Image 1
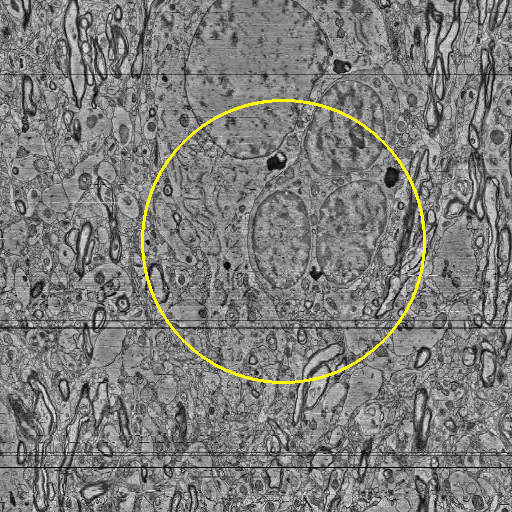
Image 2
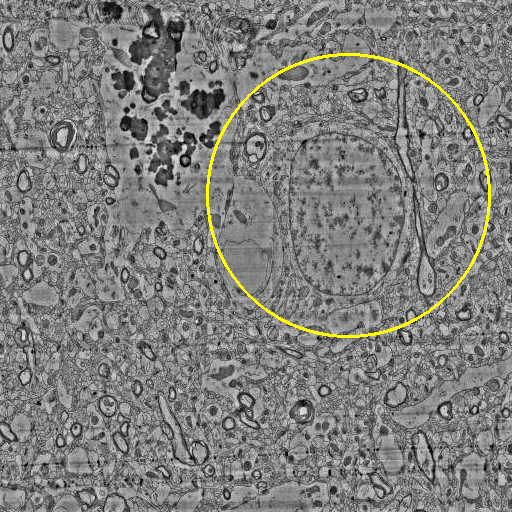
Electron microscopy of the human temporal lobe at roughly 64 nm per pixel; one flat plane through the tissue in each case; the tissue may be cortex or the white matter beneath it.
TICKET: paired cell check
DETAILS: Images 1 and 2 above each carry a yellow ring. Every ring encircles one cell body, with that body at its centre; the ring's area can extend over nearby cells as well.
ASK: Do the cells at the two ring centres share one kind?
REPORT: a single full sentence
No, the ring-centre cells of Images 1 and 2 belong to two kinds.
